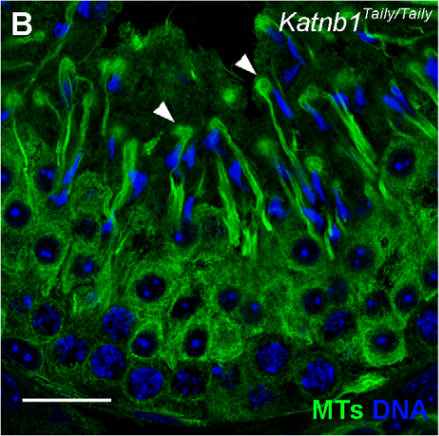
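This is the epithelium of a testis tubule, with spermatids lying toward the lumen above layers of cells with large round nuclei below. Near the base the round blue nuclei are large and some have clumped, speckled chromatin, while toward the lumen the blue nuclei are small, dense and elongated. Close to the lumen, small rounded puffs of green lie in the cytoplasm beside the elongated heads, some marked by arrowheads.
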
